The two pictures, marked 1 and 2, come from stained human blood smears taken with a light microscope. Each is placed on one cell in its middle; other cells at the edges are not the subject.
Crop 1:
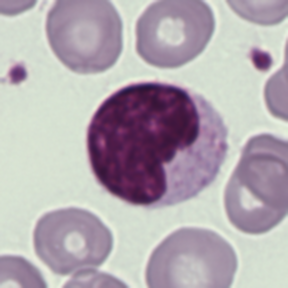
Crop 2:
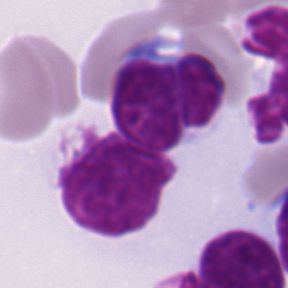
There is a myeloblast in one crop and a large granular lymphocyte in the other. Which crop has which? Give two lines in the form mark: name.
1: large granular lymphocyte
2: myeloblast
